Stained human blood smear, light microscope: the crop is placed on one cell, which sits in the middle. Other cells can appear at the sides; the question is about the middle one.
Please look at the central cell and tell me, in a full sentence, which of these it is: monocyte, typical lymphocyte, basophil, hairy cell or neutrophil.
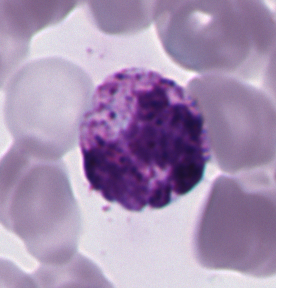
Of the cells in this crop, the central one is a basophil.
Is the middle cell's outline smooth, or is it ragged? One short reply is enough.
The cell membrane follows an uneven contour, either ragged or bearing projections.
